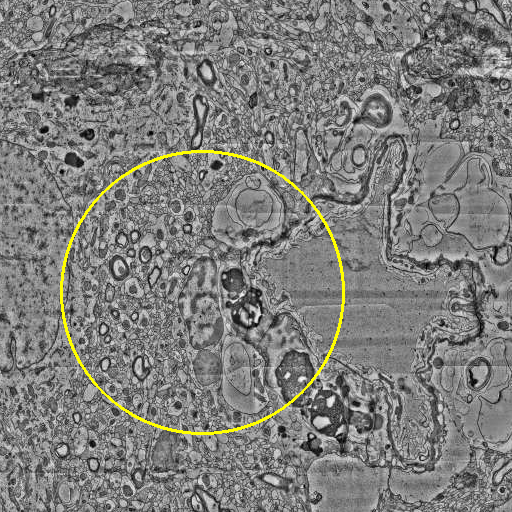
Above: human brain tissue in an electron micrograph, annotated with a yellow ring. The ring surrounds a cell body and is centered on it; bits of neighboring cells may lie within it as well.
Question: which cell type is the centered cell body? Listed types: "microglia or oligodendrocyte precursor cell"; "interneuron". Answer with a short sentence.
The centered cell body is a microglial cell or oligodendrocyte precursor cell.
